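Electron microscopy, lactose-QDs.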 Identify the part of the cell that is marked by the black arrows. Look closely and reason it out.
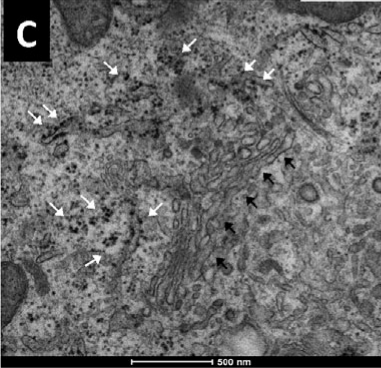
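The black arrows lie along a stack of flattened, parallel, curved membrane cisternae. Small round vesicles cluster at the ends of the stacked cisternae.
Golgi.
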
